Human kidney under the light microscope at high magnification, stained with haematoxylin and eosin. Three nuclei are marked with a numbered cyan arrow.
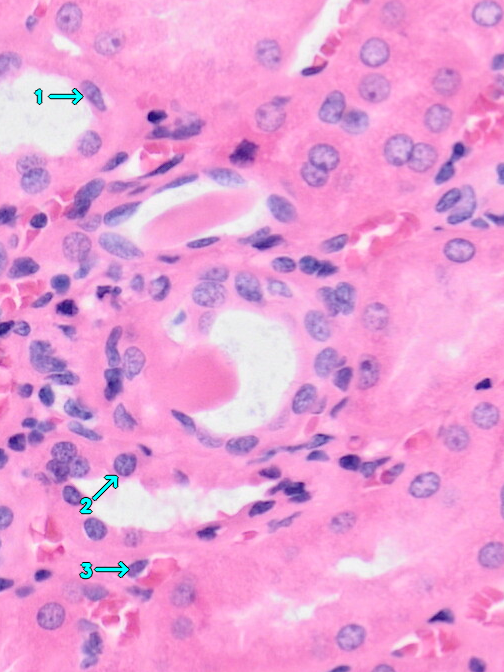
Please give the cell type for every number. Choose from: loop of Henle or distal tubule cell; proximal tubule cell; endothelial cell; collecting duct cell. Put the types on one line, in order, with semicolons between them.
loop of Henle or distal tubule cell; loop of Henle or distal tubule cell; endothelial cell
